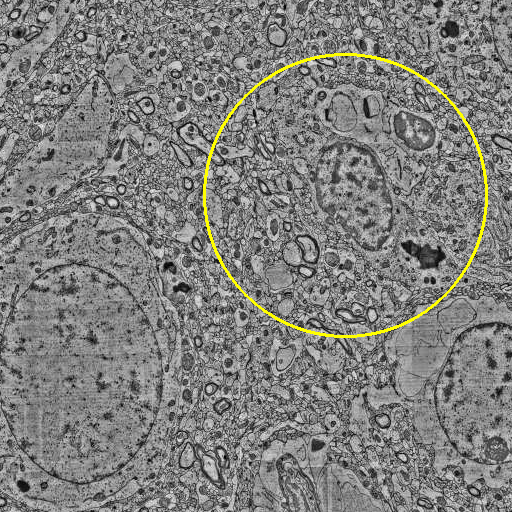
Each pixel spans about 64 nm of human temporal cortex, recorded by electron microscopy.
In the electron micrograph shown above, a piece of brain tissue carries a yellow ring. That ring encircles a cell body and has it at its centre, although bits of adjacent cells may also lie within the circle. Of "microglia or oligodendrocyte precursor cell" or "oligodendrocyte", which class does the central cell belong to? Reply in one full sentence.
The cell body at the centre of the yellow ring belongs to an oligodendrocyte.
